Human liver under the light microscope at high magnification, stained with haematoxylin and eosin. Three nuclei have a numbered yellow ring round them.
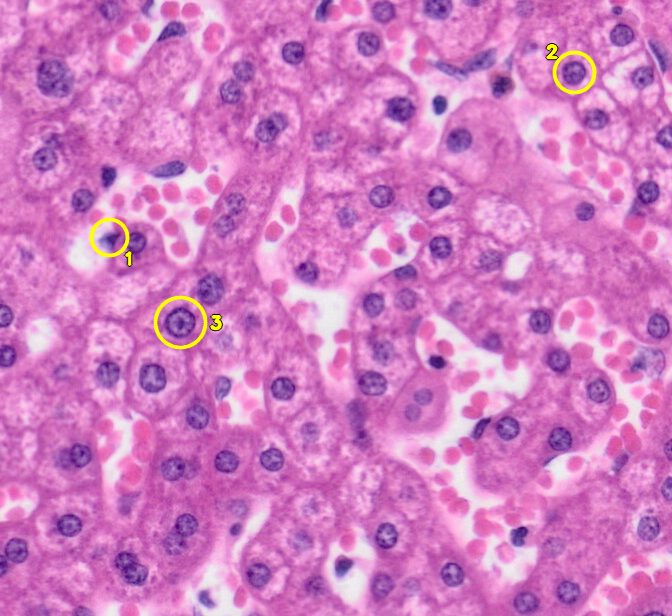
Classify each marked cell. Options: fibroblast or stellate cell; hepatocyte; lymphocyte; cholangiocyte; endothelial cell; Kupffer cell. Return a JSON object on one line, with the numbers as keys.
{"1": "endothelial cell", "2": "hepatocyte", "3": "hepatocyte"}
